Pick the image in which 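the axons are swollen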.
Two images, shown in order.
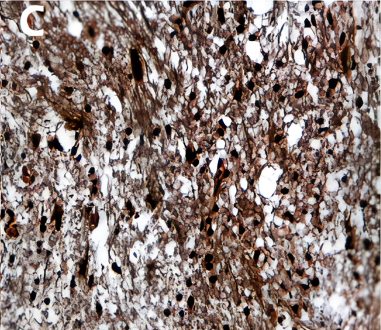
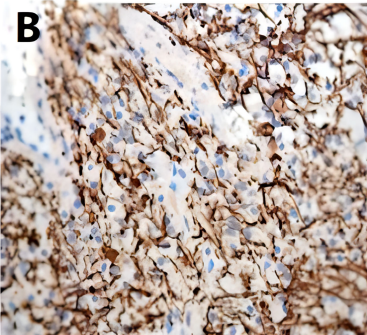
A: the first image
